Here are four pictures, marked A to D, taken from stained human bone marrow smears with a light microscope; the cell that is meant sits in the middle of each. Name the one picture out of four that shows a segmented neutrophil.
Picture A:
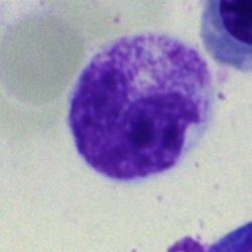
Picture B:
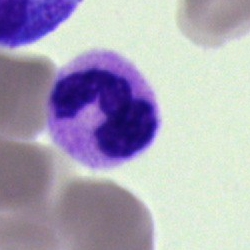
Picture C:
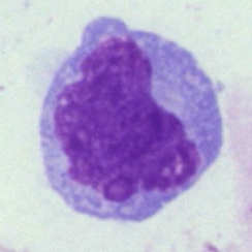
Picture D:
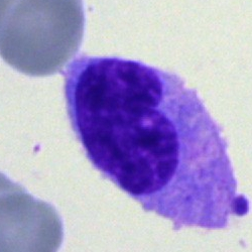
B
